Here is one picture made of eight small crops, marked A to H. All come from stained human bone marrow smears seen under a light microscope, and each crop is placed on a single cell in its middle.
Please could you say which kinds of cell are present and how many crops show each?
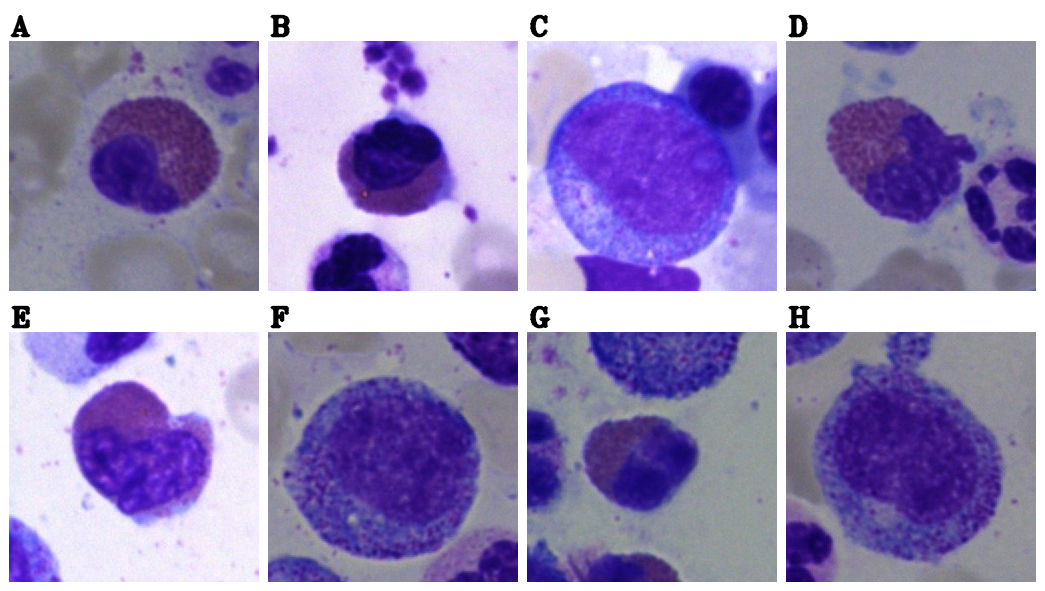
eosinophil: 5
promyelocyte: 3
